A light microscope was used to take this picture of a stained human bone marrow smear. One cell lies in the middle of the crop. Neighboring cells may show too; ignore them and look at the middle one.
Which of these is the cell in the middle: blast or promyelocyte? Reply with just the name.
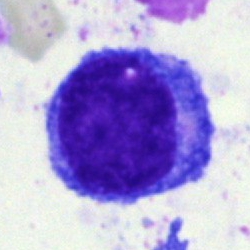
blast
